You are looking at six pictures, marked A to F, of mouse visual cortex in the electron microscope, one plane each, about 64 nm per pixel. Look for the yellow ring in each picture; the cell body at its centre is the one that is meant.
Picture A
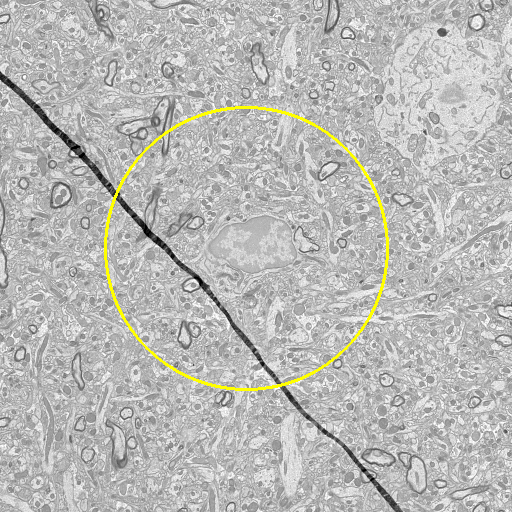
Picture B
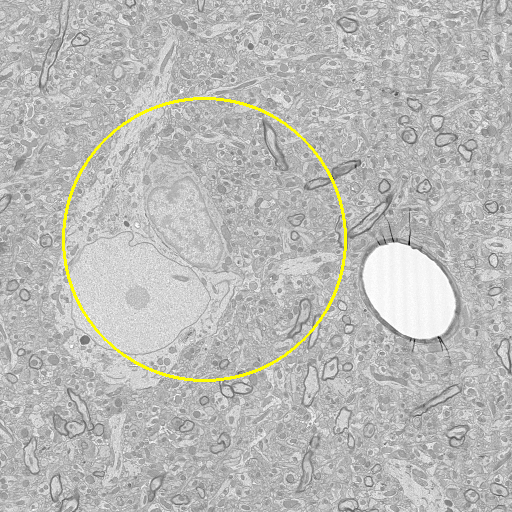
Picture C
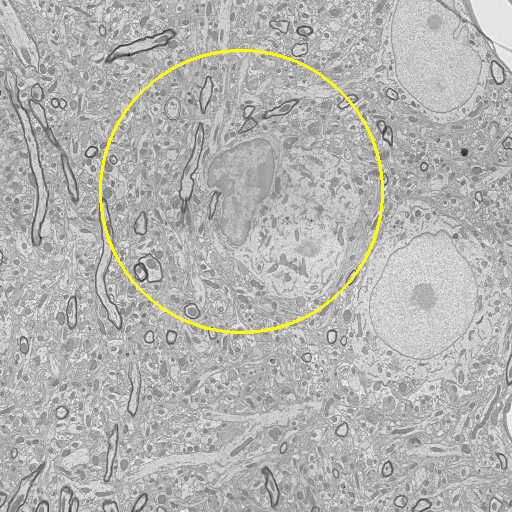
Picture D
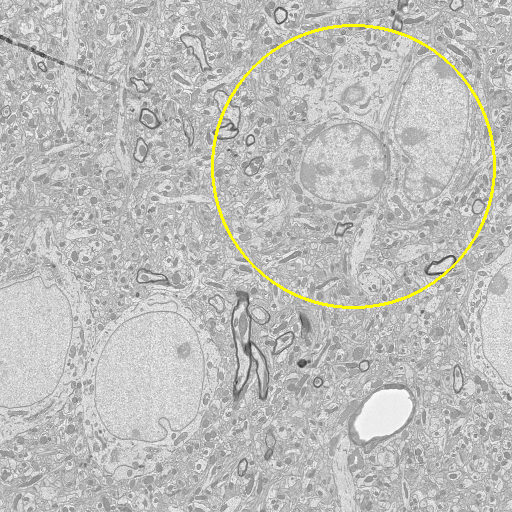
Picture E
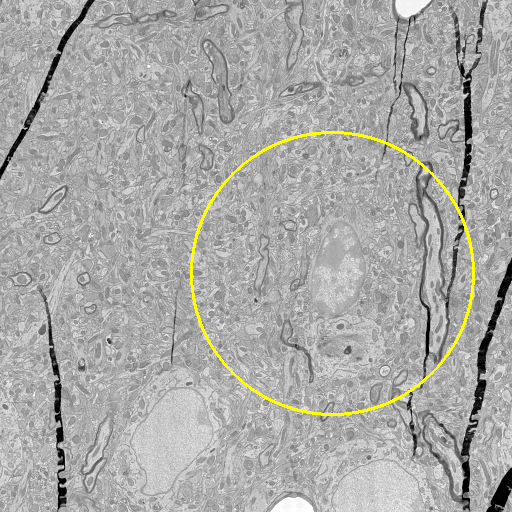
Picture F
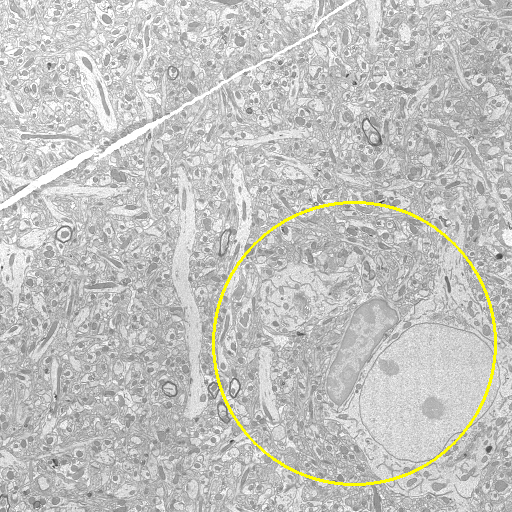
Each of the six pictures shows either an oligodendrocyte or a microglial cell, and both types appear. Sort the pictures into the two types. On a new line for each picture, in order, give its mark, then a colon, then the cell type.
A: microglial cell
B: oligodendrocyte
C: microglial cell
D: oligodendrocyte
E: oligodendrocyte
F: microglial cell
